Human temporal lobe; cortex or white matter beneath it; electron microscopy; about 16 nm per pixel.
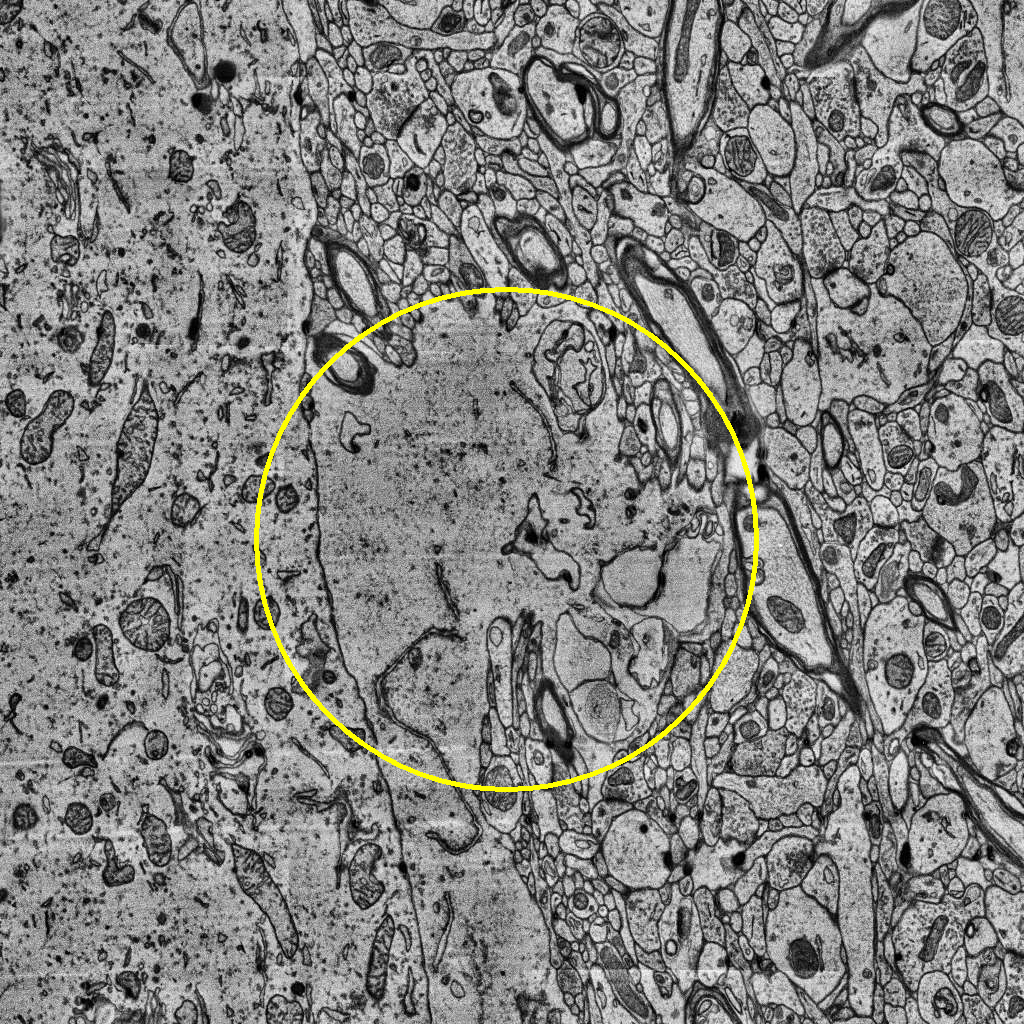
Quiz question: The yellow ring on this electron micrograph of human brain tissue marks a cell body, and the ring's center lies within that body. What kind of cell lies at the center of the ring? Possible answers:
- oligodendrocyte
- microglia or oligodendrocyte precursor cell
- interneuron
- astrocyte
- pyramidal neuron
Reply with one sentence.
The ring's center lies on an astrocyte.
